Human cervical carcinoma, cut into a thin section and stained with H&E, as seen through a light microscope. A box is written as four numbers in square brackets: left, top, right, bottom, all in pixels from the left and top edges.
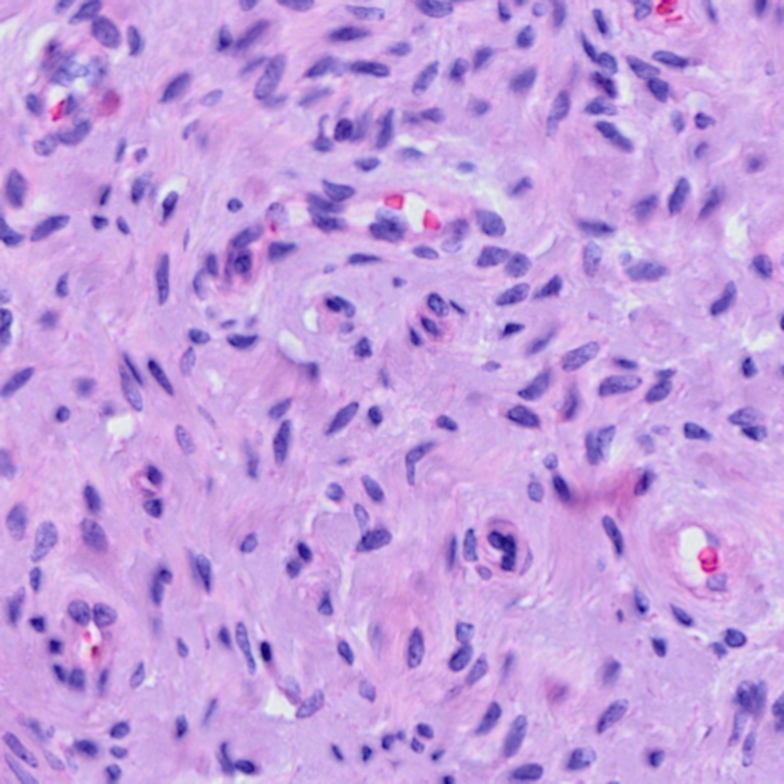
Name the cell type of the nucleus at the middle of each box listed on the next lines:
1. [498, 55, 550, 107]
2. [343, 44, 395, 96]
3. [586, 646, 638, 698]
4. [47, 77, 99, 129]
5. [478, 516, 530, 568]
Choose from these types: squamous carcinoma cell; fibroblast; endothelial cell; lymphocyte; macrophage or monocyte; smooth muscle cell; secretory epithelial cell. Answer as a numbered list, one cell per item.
1. fibroblast
2. fibroblast
3. fibroblast
4. endothelial cell
5. endothelial cell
